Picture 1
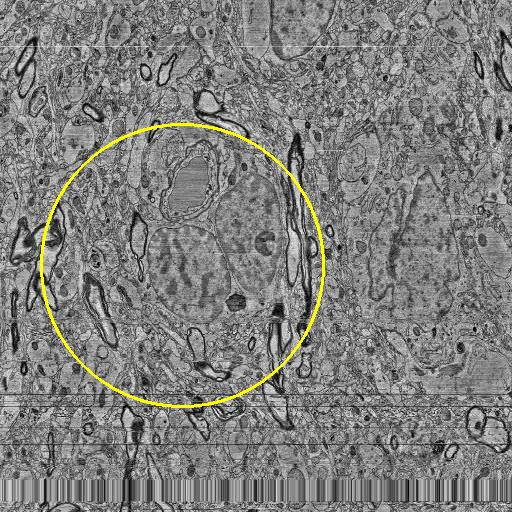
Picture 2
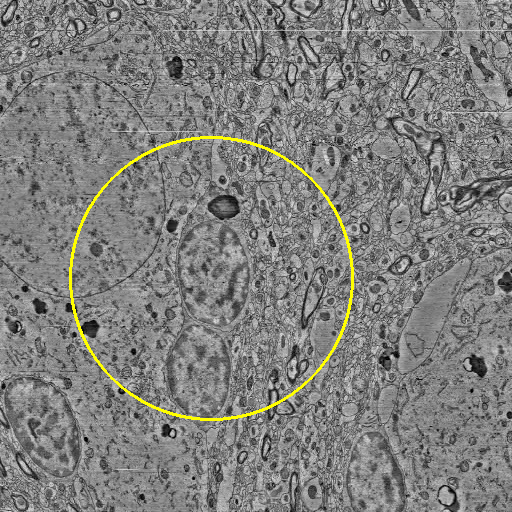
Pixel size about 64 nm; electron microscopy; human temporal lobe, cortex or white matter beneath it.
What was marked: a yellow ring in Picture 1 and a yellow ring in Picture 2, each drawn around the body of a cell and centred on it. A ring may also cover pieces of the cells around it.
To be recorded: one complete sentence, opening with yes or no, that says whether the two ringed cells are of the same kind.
Yes, the two ringed cells are of the same kind.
